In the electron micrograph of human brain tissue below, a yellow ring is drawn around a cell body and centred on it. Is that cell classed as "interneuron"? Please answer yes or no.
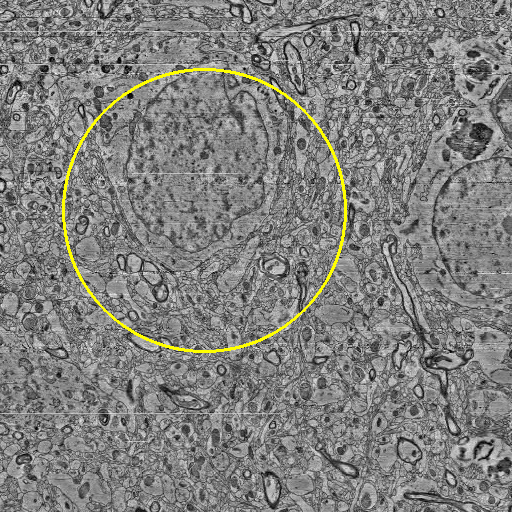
yes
